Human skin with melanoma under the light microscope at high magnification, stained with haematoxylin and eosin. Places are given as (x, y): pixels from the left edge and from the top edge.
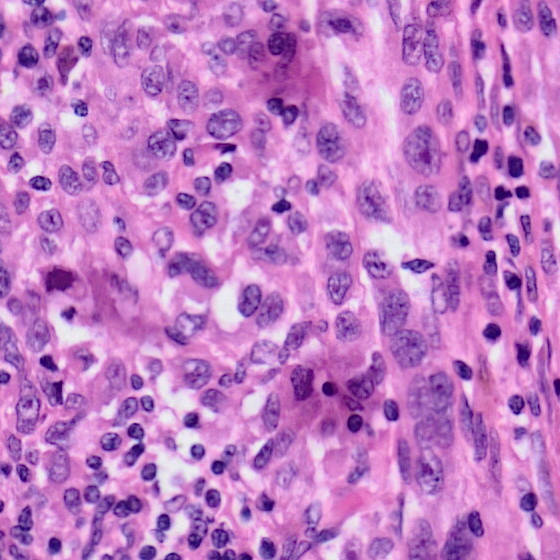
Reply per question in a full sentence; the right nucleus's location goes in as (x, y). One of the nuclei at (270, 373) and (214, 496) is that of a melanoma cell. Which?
As for which of the two, the nucleus at (270, 373) belongs to a melanoma cell.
